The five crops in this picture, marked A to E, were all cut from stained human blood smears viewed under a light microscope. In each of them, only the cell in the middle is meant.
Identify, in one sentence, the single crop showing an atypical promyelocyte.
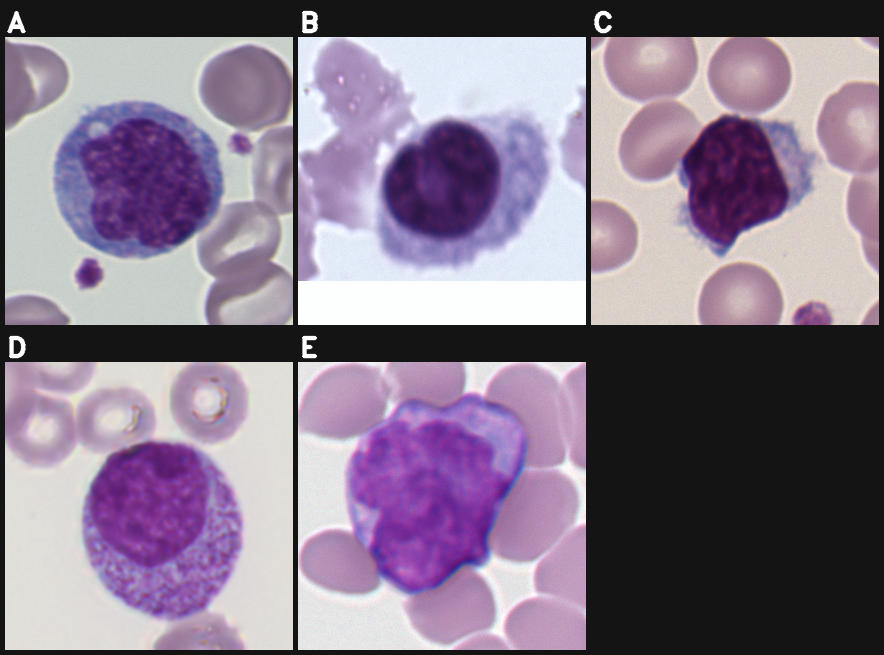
The crop carrying an atypical promyelocyte at the center is crop E.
